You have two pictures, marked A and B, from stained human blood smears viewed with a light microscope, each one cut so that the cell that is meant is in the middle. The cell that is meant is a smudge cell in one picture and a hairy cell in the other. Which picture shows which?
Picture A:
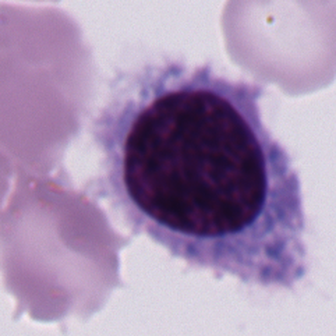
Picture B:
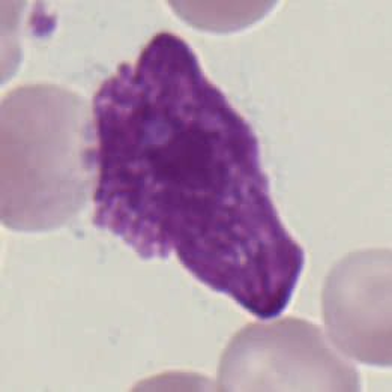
A: hairy cell
B: smudge cell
